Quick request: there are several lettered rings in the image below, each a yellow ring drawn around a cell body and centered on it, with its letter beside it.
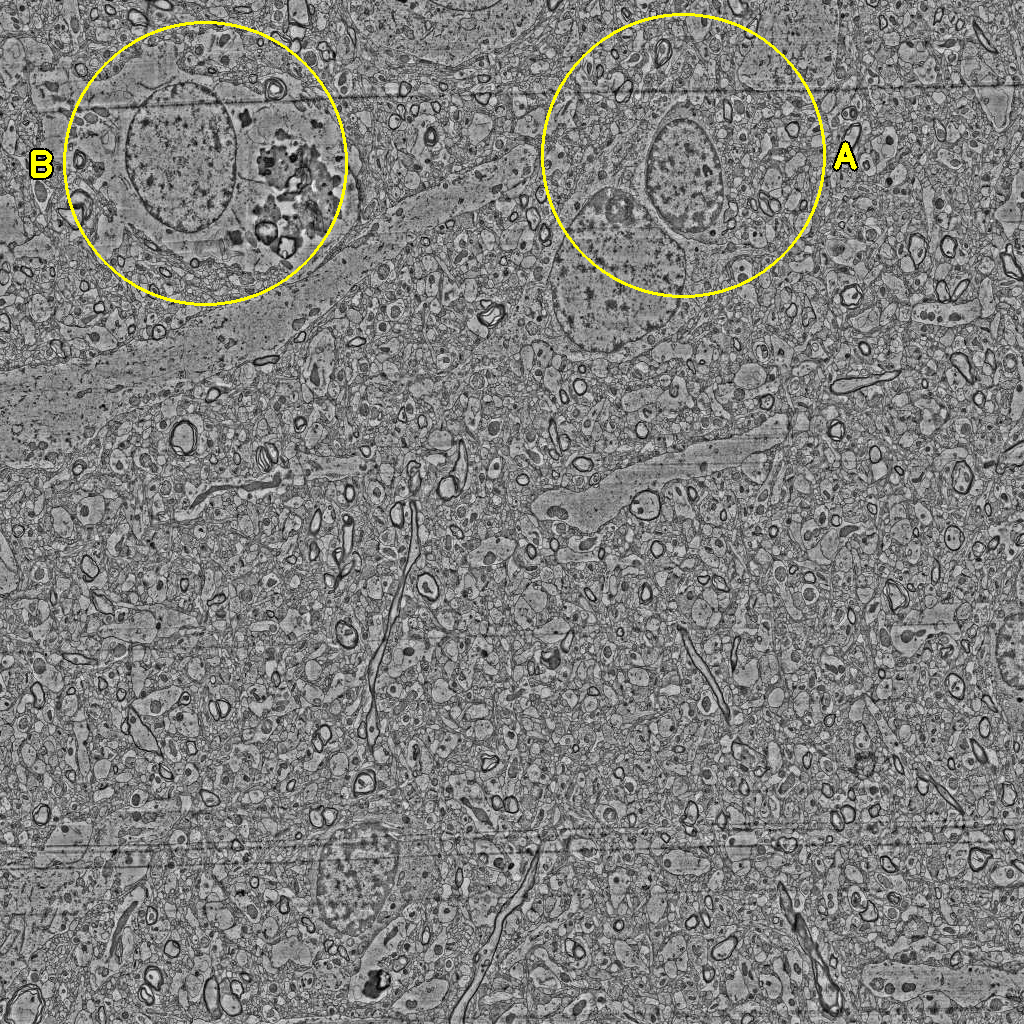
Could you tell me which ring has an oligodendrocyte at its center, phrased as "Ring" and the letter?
Ring A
